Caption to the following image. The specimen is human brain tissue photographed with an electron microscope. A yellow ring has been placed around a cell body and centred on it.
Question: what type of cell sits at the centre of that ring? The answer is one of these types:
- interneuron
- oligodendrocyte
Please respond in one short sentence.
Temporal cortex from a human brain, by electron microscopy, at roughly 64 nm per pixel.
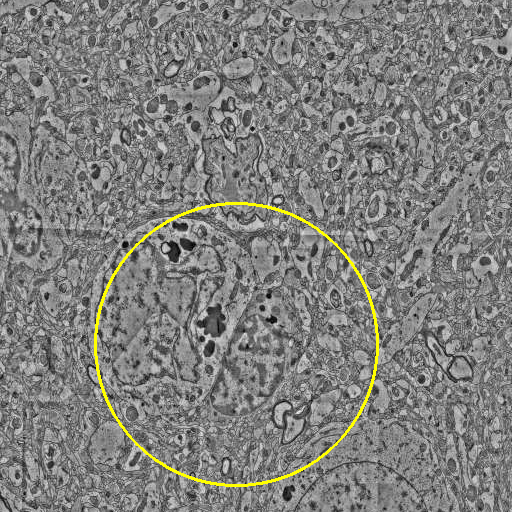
The ring surrounds the cell body of an oligodendrocyte.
